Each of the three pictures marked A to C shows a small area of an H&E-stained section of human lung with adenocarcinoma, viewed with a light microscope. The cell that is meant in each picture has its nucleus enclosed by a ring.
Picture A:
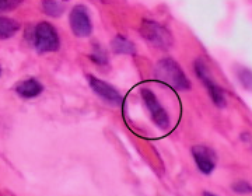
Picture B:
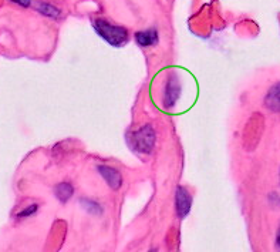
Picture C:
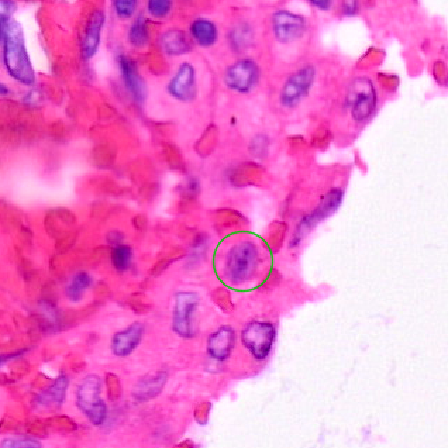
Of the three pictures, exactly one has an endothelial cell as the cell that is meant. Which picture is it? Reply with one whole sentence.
It is picture A that shows the endothelial cell.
